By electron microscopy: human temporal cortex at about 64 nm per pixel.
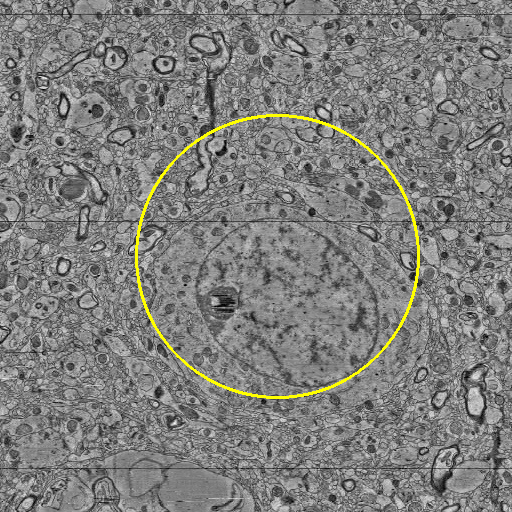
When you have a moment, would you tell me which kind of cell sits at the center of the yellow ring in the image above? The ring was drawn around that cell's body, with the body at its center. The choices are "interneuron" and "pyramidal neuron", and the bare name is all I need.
interneuron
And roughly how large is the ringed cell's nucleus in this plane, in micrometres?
Roughly 12 micrometres by 10 micrometres, in this plane.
